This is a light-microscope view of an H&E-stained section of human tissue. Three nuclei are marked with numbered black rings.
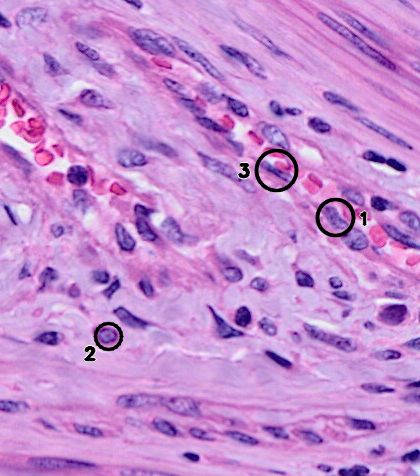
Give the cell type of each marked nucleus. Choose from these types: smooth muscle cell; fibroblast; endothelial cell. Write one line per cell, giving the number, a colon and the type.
1: endothelial cell
2: smooth muscle cell
3: endothelial cell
